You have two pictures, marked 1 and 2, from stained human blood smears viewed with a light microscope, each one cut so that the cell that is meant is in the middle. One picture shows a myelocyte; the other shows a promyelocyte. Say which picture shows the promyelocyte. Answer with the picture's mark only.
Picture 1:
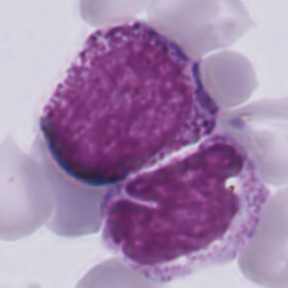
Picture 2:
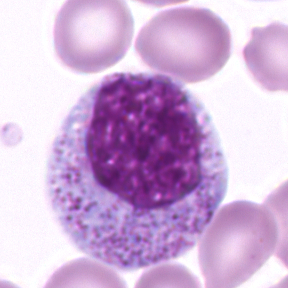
1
